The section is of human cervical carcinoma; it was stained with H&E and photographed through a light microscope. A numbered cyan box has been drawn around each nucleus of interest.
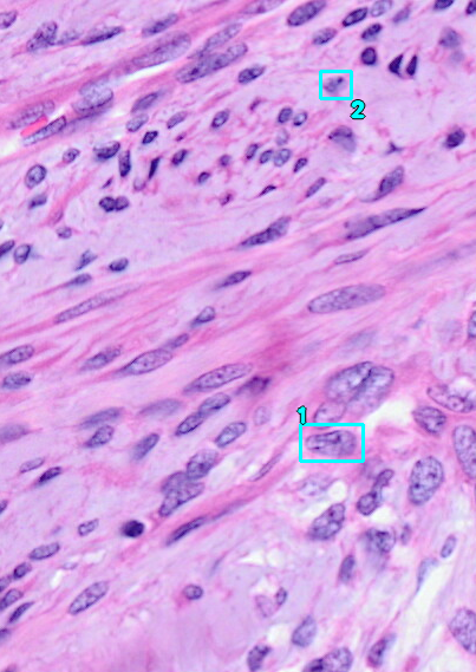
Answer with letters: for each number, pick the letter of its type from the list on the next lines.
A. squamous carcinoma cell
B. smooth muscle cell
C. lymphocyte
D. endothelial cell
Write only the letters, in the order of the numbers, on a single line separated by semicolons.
D; B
